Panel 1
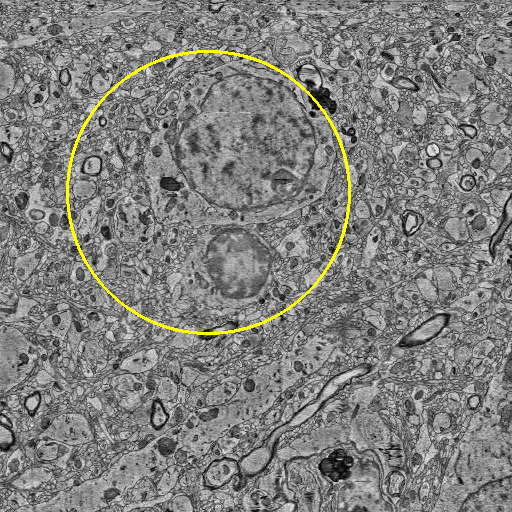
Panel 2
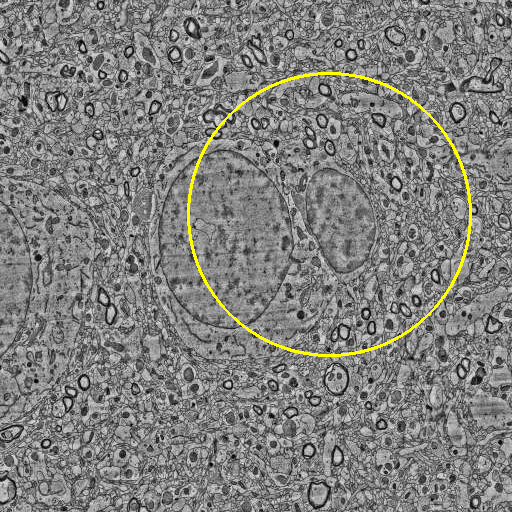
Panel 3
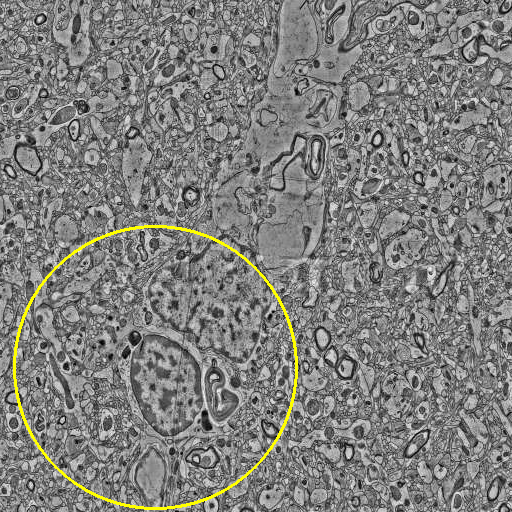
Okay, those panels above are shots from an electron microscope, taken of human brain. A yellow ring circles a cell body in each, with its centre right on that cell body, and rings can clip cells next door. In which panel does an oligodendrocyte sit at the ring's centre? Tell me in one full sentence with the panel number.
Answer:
The cell you asked for sits at the ring's centre in panel 2.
